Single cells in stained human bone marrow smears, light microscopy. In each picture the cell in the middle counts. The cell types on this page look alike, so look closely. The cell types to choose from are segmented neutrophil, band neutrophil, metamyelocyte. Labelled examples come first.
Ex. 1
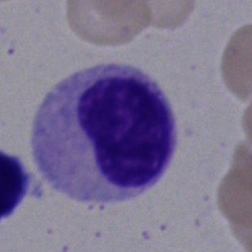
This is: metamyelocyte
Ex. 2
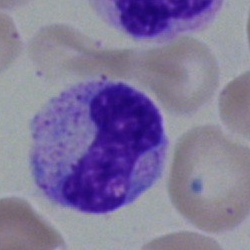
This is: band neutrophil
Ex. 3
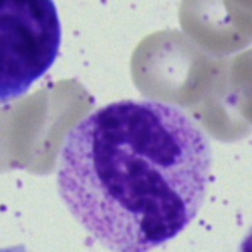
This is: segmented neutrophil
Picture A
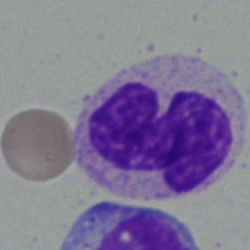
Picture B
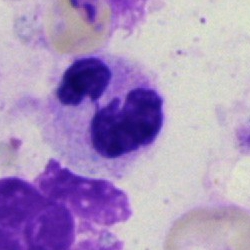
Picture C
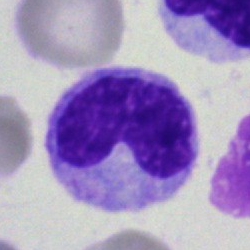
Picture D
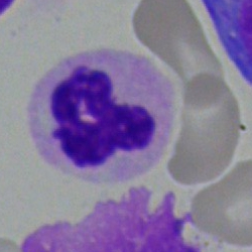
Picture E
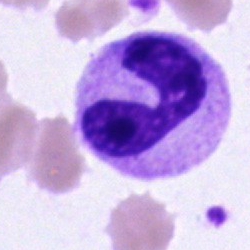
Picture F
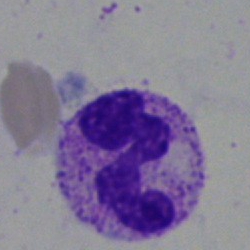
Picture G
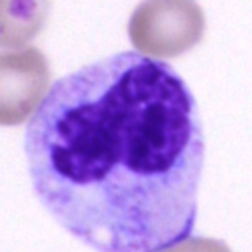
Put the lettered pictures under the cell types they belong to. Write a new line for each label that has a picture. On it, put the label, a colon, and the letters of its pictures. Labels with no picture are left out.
segmented neutrophil: B, D, F
band neutrophil: A, E
metamyelocyte: C, G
